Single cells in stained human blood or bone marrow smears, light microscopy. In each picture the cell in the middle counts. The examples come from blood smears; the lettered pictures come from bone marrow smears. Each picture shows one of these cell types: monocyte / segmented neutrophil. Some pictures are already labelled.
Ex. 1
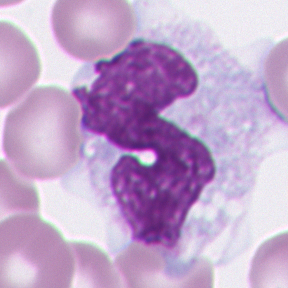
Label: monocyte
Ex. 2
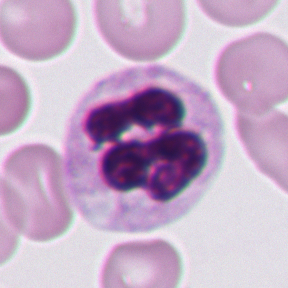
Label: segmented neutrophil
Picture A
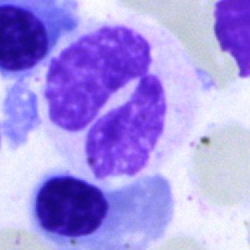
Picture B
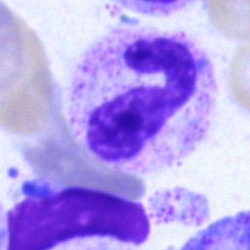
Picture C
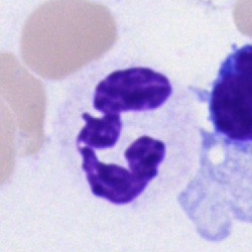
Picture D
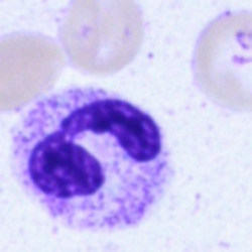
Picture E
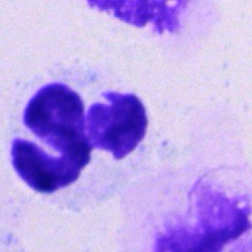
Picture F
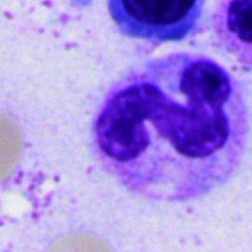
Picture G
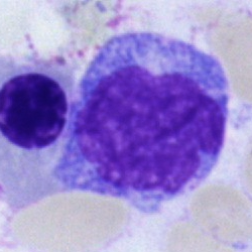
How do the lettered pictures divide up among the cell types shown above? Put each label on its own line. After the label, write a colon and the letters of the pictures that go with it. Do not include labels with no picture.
monocyte: G
segmented neutrophil: A, B, C, D, E, F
